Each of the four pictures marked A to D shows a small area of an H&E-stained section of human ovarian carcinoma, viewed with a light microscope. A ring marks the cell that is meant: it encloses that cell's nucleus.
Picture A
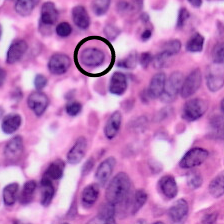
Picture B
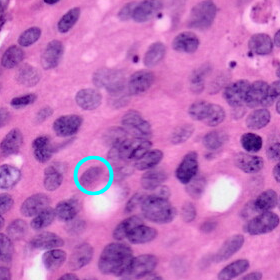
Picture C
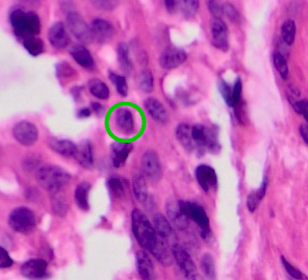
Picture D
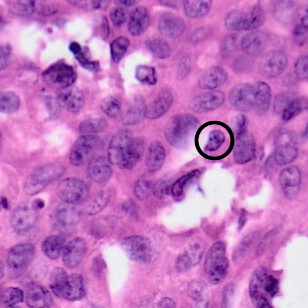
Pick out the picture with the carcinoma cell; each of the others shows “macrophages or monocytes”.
B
